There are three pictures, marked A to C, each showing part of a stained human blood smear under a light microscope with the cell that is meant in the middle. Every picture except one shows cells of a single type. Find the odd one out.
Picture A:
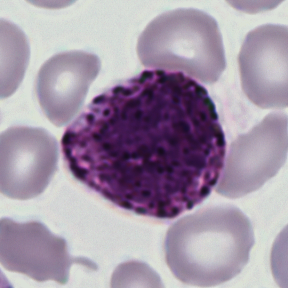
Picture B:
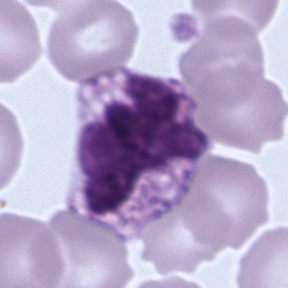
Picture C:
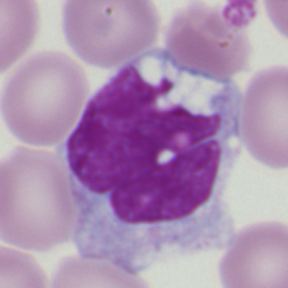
C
